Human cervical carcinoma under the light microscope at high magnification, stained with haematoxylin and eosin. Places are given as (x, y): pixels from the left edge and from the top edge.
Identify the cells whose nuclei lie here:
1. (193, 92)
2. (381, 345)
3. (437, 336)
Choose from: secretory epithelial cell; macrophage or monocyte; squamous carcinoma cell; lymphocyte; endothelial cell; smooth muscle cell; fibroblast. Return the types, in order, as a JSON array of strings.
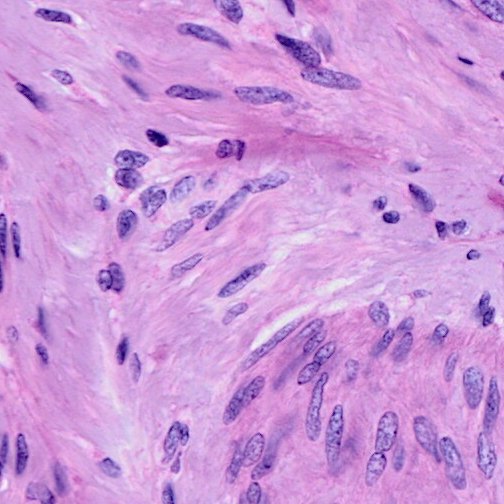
["fibroblast", "smooth muscle cell", "smooth muscle cell"]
